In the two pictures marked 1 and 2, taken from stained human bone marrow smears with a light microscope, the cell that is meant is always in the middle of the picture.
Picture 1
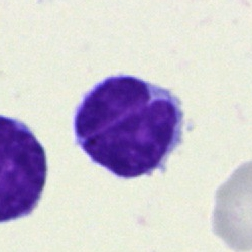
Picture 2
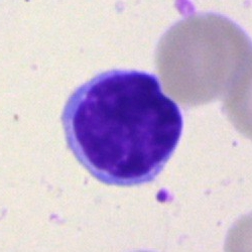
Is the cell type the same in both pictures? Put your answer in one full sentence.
Yes, they are the same type: both are lymphocytes.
